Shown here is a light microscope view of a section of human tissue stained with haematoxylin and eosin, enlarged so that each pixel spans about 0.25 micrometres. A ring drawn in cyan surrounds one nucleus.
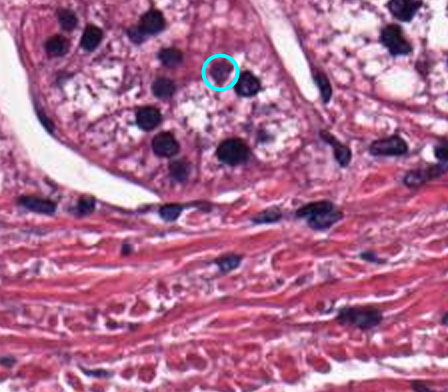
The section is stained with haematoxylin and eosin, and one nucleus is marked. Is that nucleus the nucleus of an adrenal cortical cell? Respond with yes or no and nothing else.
yes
